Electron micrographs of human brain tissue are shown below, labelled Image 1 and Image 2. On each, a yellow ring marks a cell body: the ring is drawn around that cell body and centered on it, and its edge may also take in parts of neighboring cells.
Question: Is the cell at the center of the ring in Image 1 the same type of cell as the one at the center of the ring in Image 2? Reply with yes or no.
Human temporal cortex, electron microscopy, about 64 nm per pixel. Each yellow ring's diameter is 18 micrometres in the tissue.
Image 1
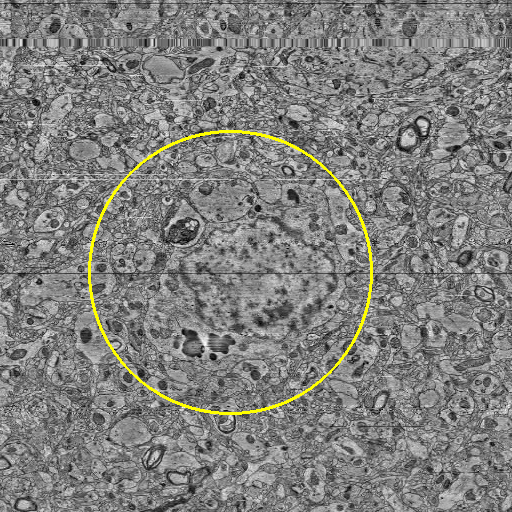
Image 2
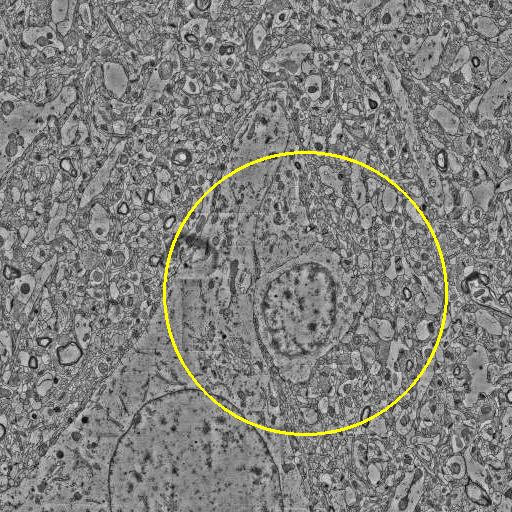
yes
